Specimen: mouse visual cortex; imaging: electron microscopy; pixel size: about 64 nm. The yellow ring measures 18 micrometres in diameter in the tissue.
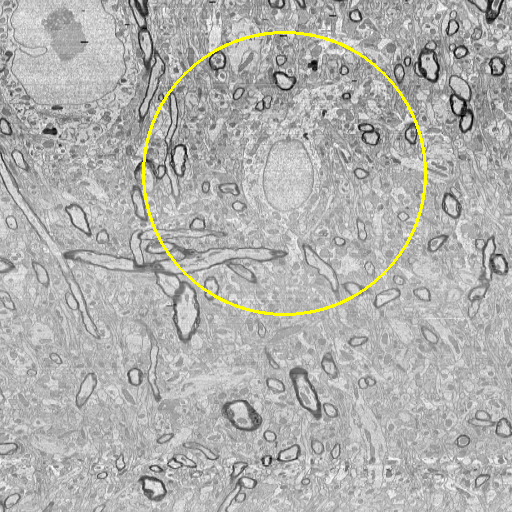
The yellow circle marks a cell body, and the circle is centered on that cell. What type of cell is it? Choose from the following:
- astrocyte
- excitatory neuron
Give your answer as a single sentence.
This cell body belongs to an astrocyte.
